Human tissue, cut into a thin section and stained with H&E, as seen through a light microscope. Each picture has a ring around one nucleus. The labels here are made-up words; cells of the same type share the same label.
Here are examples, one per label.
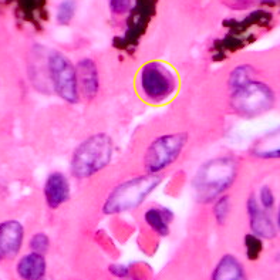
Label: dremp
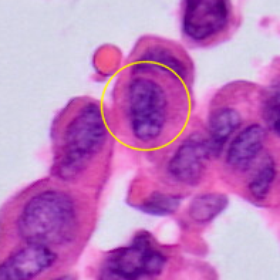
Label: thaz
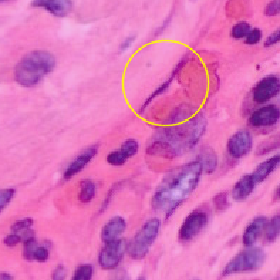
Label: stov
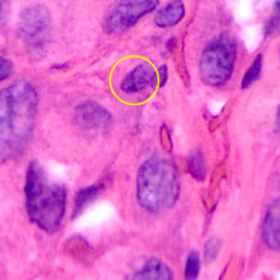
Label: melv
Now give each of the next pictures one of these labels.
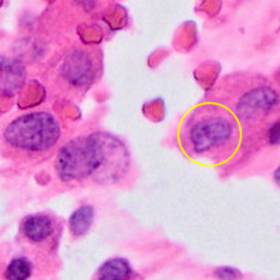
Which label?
melv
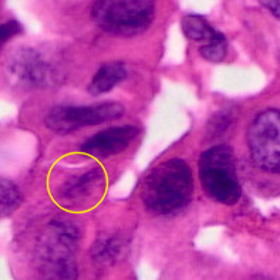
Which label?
thaz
